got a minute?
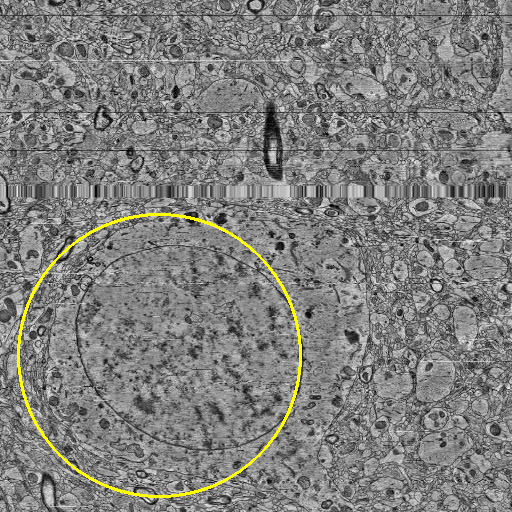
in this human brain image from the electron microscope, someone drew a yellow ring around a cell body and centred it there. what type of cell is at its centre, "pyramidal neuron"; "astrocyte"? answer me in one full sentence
It's a pyramidal neuron at the middle of that yellow ring in the shot.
